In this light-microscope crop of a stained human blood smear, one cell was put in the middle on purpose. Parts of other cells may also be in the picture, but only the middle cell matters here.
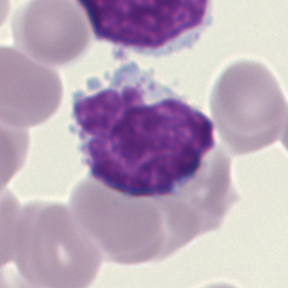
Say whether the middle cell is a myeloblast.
no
